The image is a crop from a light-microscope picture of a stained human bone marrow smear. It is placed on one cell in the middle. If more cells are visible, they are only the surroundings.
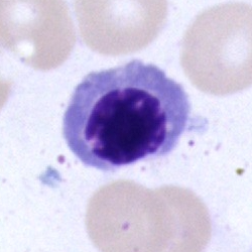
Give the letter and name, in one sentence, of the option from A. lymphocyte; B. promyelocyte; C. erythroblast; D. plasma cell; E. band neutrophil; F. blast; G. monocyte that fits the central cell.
Option C is correct in naming the middle cell an erythroblast.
